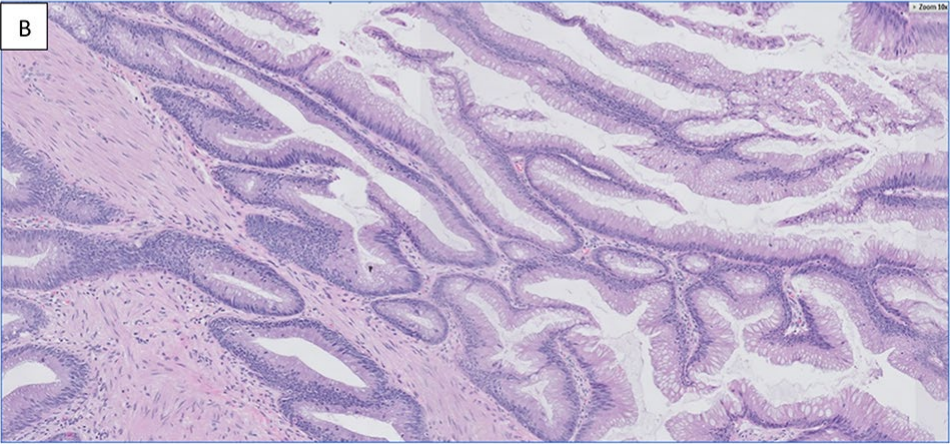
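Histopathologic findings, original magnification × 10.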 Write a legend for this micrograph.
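Branching villous folds are lined by a single layer of tall columnar mucinous epithelial cells with abundant pale apical cytoplasm and elongated, dark basal nuclei. Some areas show crowded, stratified-looking nuclei with mild to moderate atypia. The folds rest on thin fibrovascular cores, and pink spindle-cell stroma borders the glands at the left.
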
